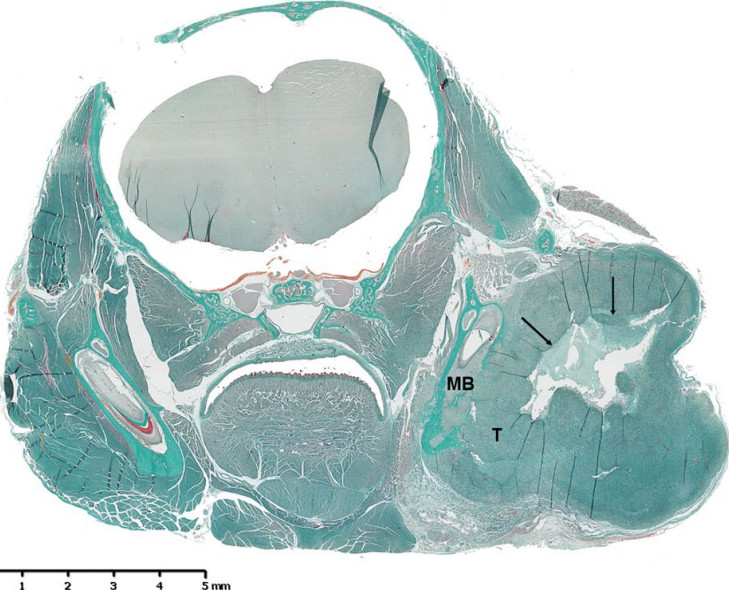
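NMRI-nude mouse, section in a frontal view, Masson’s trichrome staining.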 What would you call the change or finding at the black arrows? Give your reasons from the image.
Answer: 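Tumor necrosis. The arrows point to a pale, washed-out irregular area in the middle of a large mass. The pale area lacks the dense cellular texture of the surrounding mass.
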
